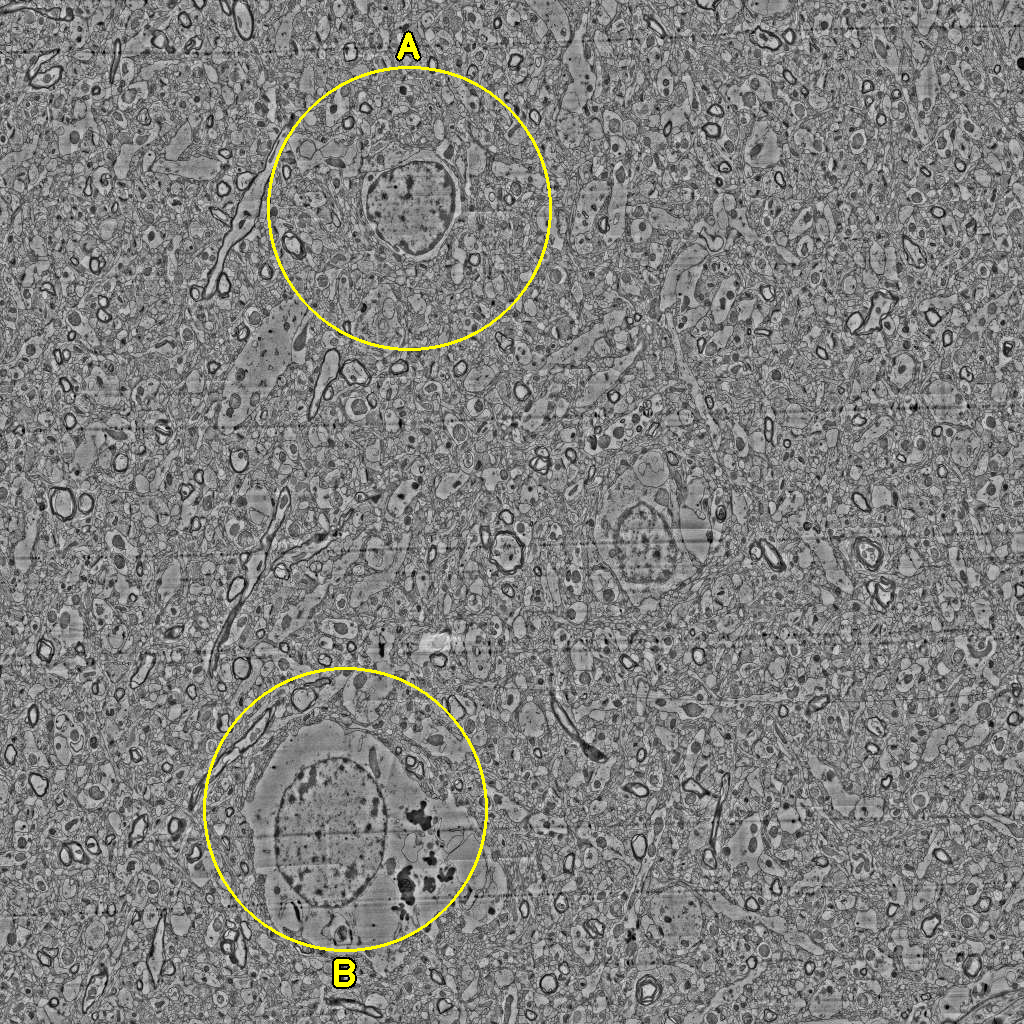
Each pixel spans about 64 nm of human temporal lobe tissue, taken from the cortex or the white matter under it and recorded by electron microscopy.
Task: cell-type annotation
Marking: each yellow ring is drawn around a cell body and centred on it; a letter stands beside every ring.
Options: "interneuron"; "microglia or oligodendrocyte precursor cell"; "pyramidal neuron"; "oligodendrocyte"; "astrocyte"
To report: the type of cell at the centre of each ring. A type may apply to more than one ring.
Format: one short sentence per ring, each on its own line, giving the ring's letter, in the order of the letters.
Ring A is centred on a microglial cell or oligodendrocyte precursor cell.
Ring B is centred on an astrocyte.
